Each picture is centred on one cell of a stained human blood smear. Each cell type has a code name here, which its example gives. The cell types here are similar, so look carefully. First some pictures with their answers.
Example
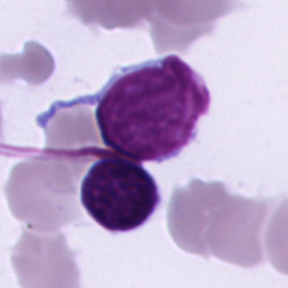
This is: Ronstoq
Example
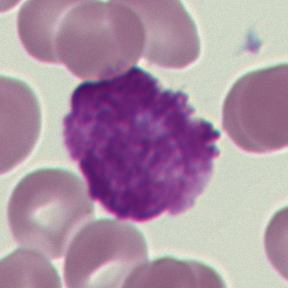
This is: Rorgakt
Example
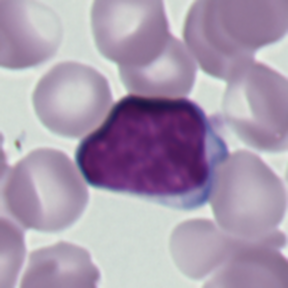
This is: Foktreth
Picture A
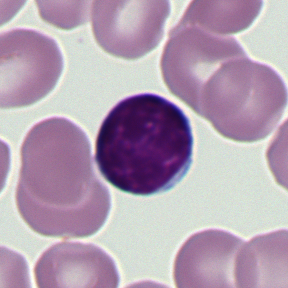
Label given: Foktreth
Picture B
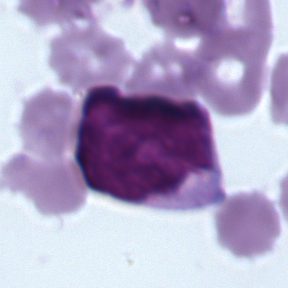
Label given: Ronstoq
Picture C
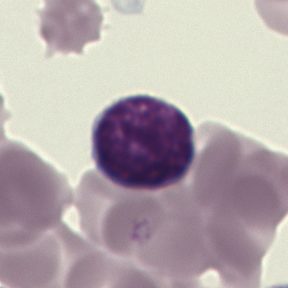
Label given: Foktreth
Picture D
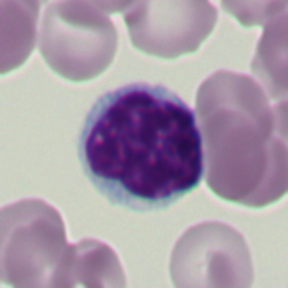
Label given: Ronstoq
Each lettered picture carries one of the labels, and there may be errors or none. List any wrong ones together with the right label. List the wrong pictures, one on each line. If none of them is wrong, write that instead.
D: change Ronstoq to Foktreth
